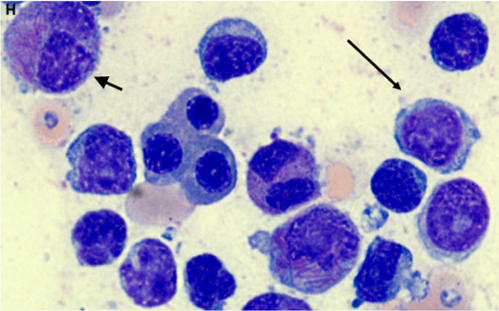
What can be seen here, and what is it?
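This bone marrow aspirate smear shows a mixture of small mature-looking lymphocytes and larger abnormal promyelocytes. The lymphocytes are small round cells with dense, clumped dark purple nuclei and a thin rim of blue cytoplasm. The larger cells have bigger, irregular or folded nuclei with finer chromatin and more cytoplasm, some of it granular. In one large cell near the centre thin rod-shaped inclusions, Auer rods, can be made out in the cytoplasm. A few red cells lie in the pale background.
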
